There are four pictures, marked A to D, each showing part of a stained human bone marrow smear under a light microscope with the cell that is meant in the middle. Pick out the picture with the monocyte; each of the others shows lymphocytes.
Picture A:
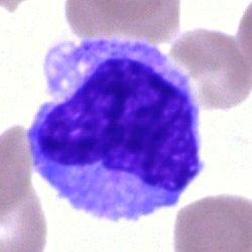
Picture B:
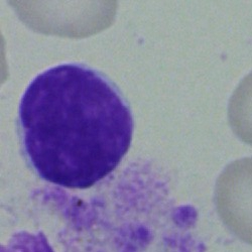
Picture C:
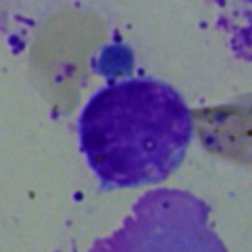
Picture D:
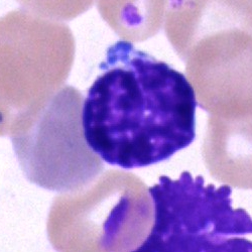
A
